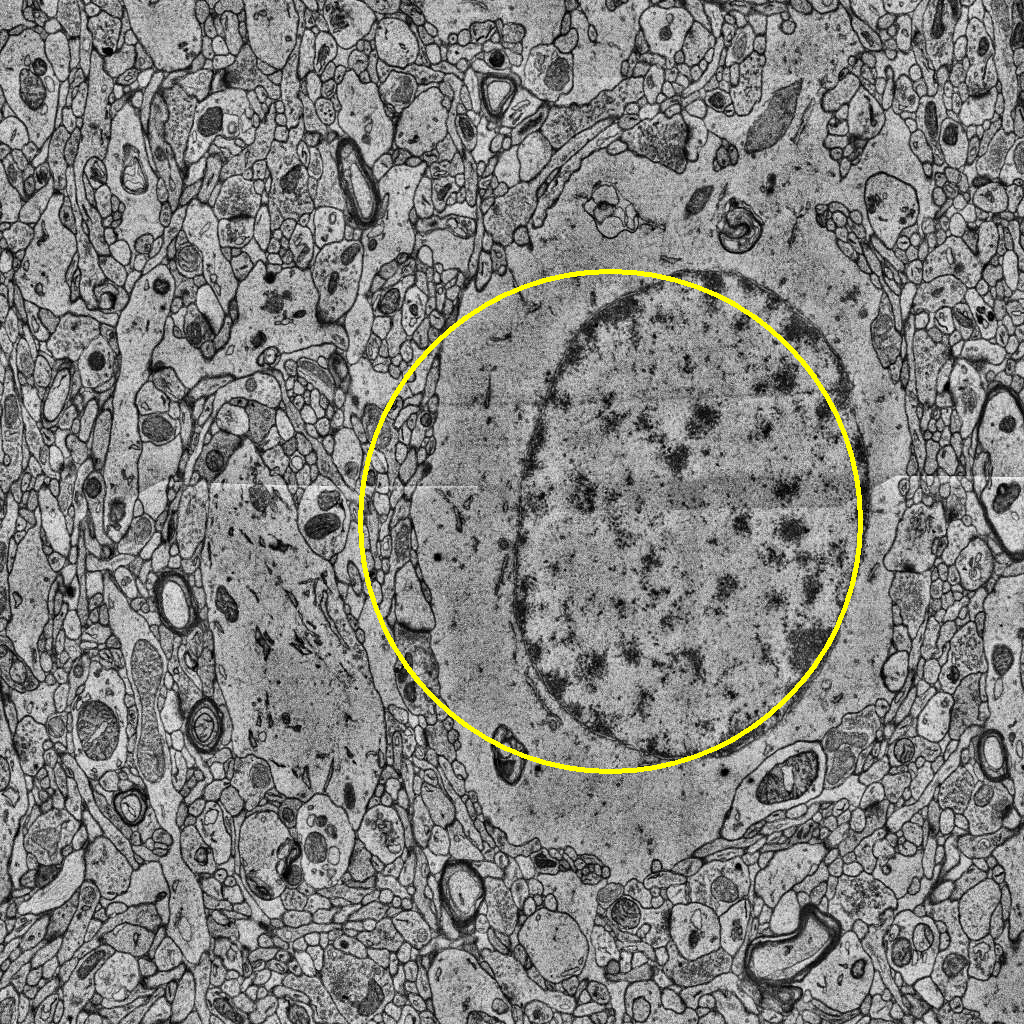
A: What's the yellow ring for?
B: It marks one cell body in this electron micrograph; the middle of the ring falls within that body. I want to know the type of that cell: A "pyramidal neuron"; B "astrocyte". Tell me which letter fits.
B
